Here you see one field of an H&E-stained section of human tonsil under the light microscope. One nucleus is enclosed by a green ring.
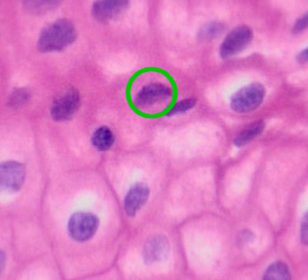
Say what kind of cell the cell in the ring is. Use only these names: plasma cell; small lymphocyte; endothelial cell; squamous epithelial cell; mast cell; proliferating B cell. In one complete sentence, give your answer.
Within the stained tissue, the cell in the ring is a squamous epithelial cell.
